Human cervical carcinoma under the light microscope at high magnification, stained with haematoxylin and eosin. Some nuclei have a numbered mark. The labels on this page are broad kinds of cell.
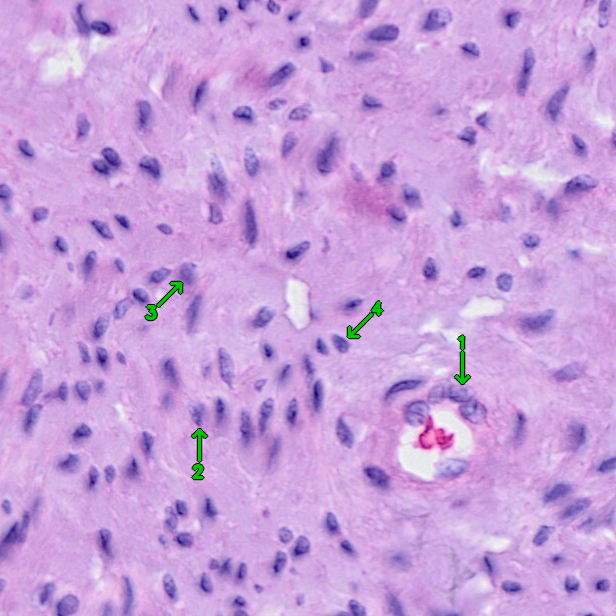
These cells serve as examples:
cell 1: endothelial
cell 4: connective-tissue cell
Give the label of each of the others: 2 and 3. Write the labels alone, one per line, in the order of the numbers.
connective-tissue cell
connective-tissue cell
